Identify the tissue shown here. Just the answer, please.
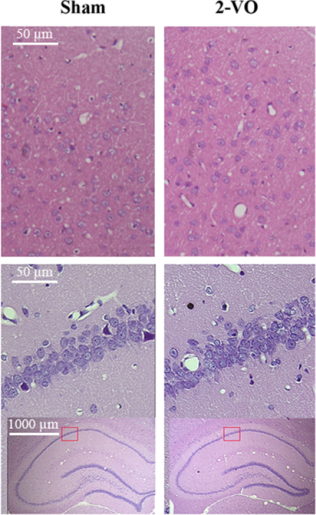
hippocampus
